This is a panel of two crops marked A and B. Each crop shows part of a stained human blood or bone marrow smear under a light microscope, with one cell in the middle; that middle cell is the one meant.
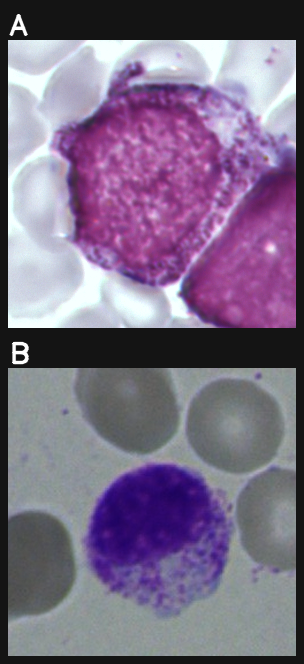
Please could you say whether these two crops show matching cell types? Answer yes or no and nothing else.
yes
